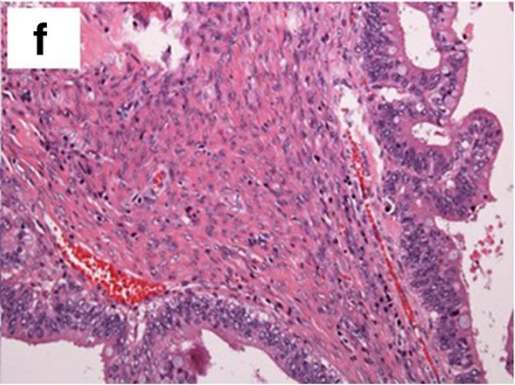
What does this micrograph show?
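This view shows densely cellular ovarian-like stroma lying between layers of columnar epithelium. The stromal cells are plump and spindle-shaped, with oval nuclei packed closely in pink cytoplasm. A thin-walled vessel filled with red blood cells runs through the stroma. Along the right and lower edges, columnar epithelium with crowded, dark nuclei lines the surface, and some of its cells contain clear vacuoles. The epithelium forms small papillary tufts at the upper right.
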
